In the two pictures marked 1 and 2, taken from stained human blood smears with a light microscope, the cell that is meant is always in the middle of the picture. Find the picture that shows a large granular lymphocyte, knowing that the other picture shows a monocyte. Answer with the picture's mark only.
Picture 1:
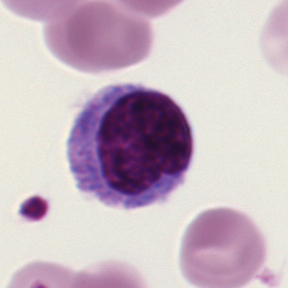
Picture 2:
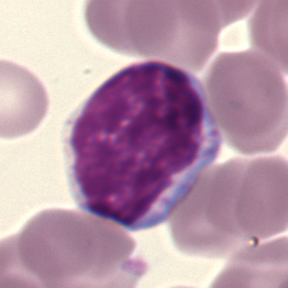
2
